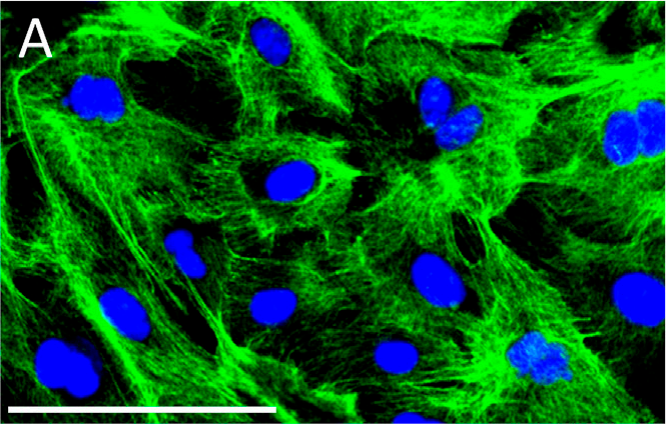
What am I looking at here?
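The cells are broad and polygonal to elongated and lie close together, forming a sheet in which the filament bundles of neighbours seem to run on into each other. Every cell contains a blue oval nucleus near its centre, and a few cells hold two nuclei or a nucleus that looks lobed. Dark gaps between some cells show where the sheet is not fully closed.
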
